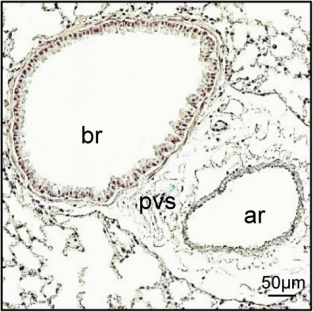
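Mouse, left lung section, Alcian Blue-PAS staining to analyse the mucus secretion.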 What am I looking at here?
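The bronchiolar wall is lined by a single, regular row of cuboidal to columnar epithelial cells with dark nuclei, resting on a thin band of pinkish-brown connective tissue. Between the airway and the artery lies a loose perivascular space, and the artery wall appears as a thin layer around an empty lumen. The surrounding alveolar walls are thin and enclose open air spaces.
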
